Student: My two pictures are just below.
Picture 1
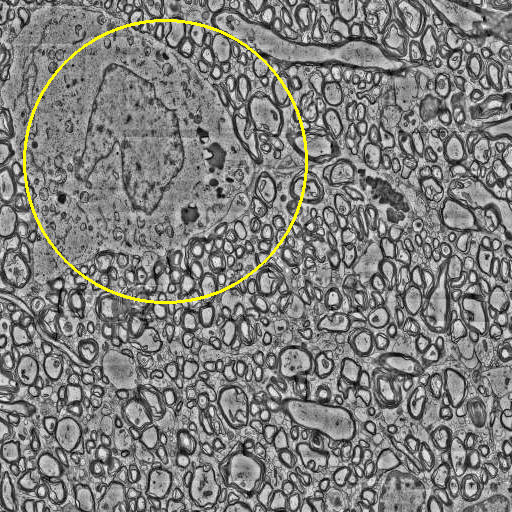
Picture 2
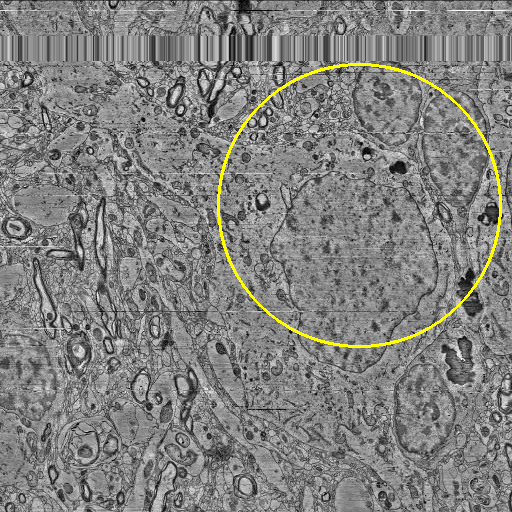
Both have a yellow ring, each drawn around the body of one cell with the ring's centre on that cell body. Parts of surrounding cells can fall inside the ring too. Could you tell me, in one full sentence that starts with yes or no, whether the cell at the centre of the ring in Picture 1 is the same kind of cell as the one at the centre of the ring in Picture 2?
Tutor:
Yes, the two cells are of the same kind.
